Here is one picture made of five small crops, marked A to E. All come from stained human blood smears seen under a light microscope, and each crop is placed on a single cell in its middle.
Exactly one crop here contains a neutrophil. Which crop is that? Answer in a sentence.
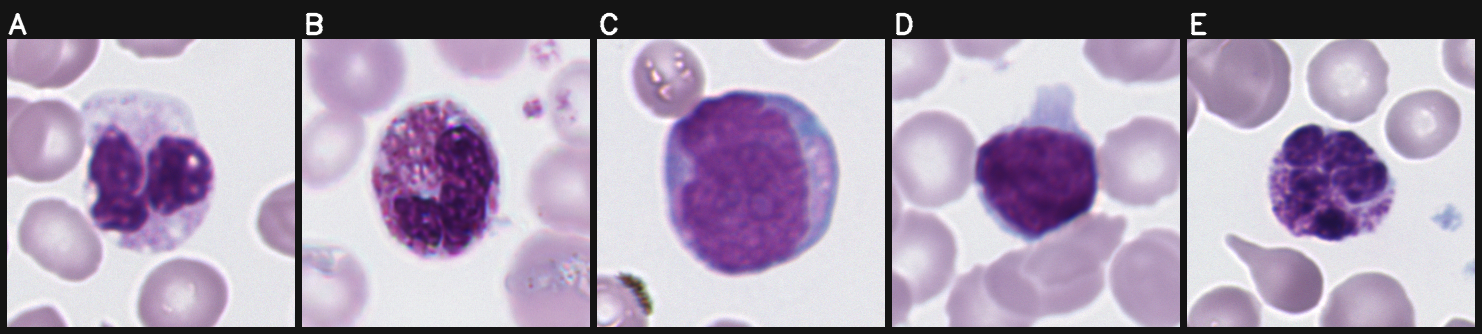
Identified crop: A, the one that shows a neutrophil.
